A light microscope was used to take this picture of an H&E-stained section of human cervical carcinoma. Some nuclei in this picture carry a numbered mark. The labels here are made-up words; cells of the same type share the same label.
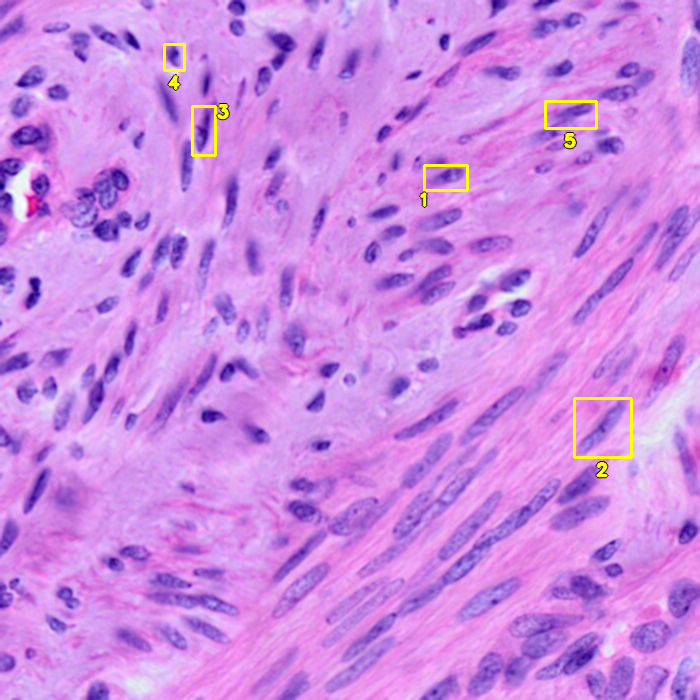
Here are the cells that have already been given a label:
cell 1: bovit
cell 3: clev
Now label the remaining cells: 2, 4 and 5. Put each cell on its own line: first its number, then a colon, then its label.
2: bovit
4: clev
5: bovit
